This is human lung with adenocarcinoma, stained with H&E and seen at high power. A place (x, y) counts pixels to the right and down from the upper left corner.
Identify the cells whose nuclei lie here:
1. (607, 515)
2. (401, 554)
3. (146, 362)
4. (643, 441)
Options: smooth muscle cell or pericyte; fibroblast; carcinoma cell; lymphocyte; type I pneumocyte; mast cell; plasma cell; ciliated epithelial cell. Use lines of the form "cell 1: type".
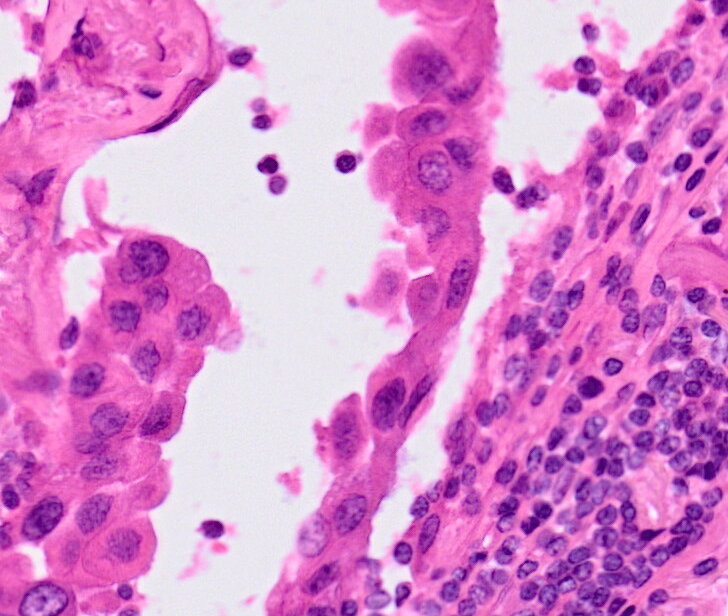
cell 1: lymphocyte
cell 2: lymphocyte
cell 3: carcinoma cell
cell 4: lymphocyte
